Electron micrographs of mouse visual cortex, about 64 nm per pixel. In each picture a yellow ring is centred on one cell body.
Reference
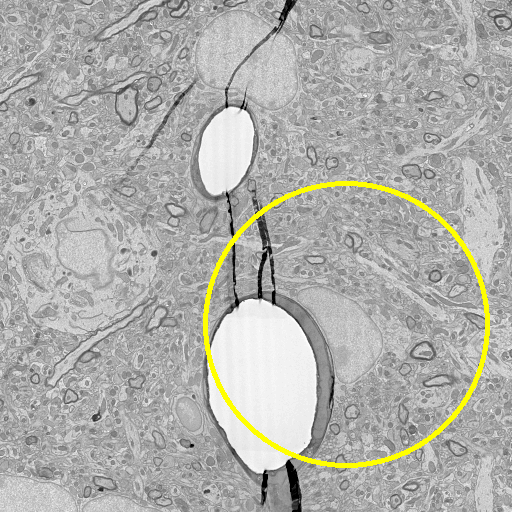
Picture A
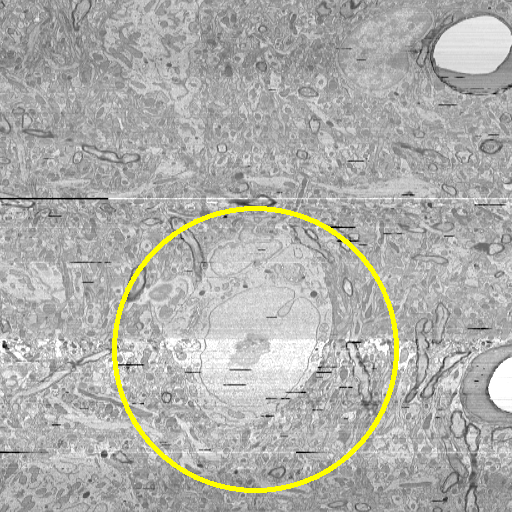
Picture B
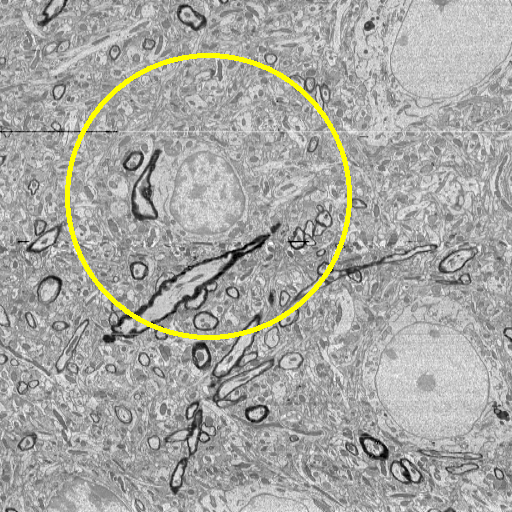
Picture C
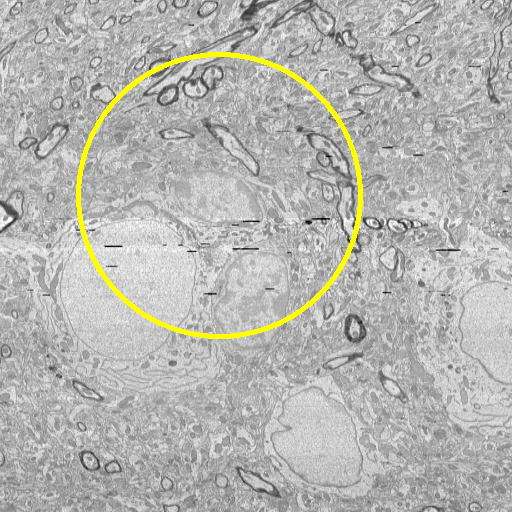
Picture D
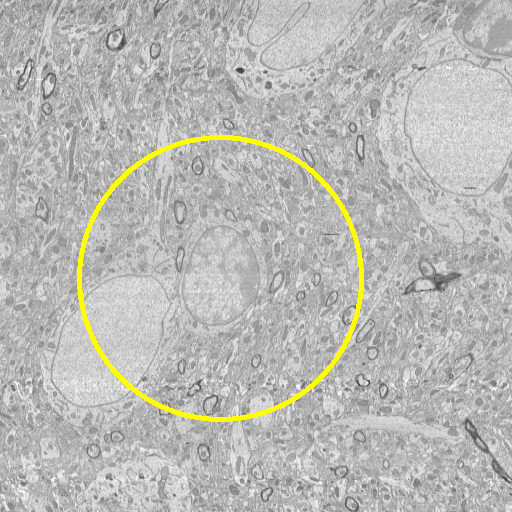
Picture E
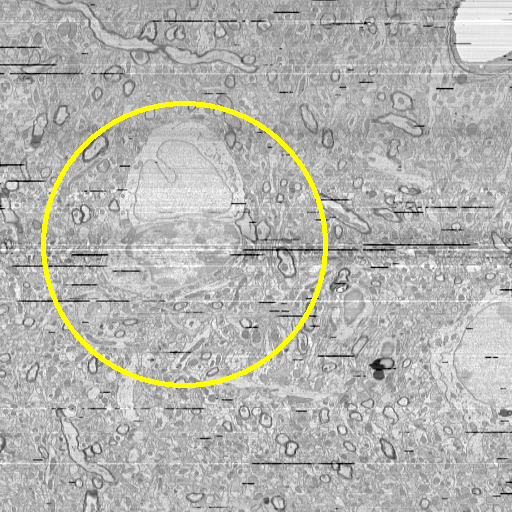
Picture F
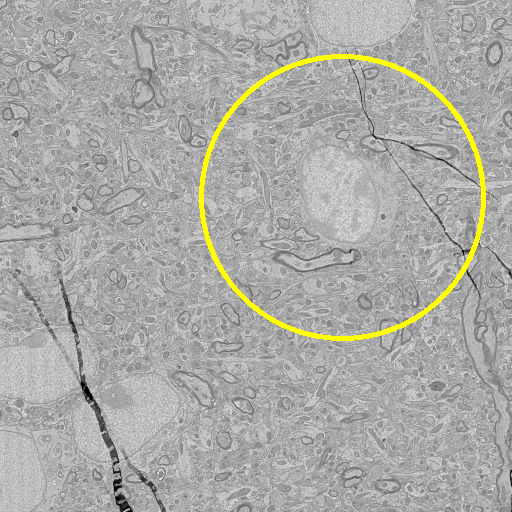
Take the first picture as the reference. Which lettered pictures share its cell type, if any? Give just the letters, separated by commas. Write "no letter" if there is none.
no letter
